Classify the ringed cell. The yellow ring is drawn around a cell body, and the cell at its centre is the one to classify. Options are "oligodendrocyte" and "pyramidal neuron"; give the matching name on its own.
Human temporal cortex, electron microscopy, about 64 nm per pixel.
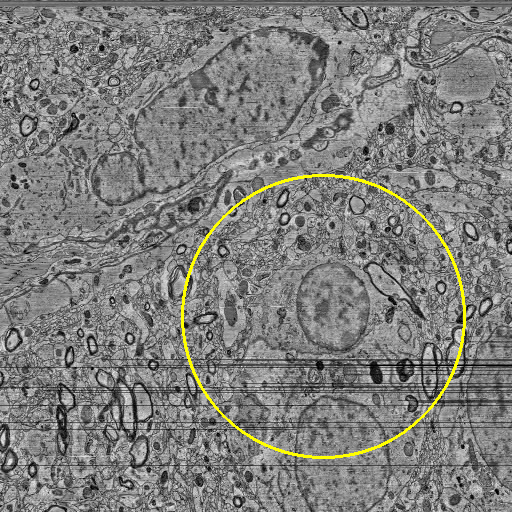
oligodendrocyte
